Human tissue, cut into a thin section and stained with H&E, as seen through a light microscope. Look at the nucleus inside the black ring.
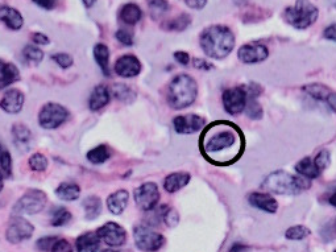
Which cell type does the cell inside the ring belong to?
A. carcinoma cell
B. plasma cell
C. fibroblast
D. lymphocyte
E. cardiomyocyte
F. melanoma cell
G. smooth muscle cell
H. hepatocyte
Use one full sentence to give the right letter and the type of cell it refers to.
The correct response is option D: the cell inside the ring is a lymphocyte.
